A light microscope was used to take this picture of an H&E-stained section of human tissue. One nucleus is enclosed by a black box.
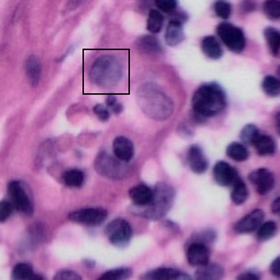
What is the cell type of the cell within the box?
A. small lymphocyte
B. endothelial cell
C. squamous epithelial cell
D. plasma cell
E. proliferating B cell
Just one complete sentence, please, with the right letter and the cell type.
What option B states, that the cell within the box is an endothelial cell, is correct.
